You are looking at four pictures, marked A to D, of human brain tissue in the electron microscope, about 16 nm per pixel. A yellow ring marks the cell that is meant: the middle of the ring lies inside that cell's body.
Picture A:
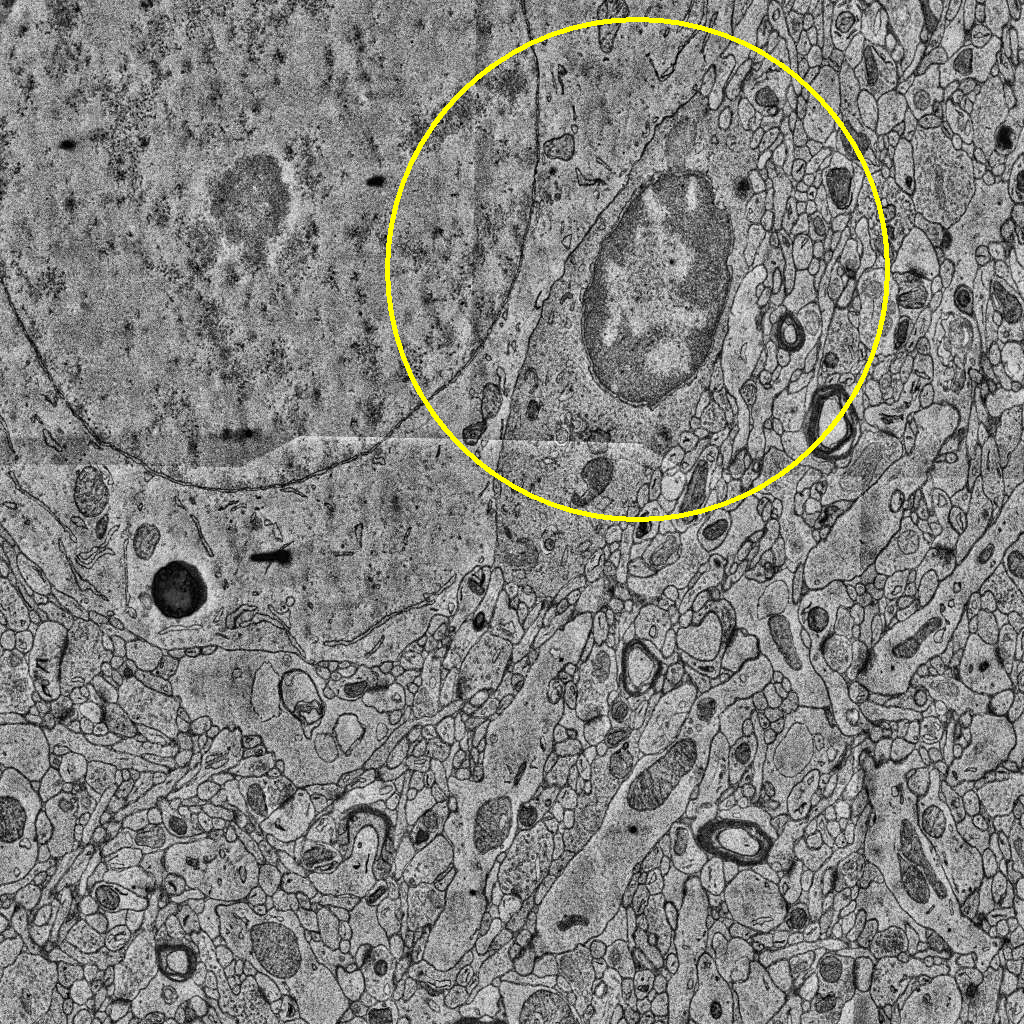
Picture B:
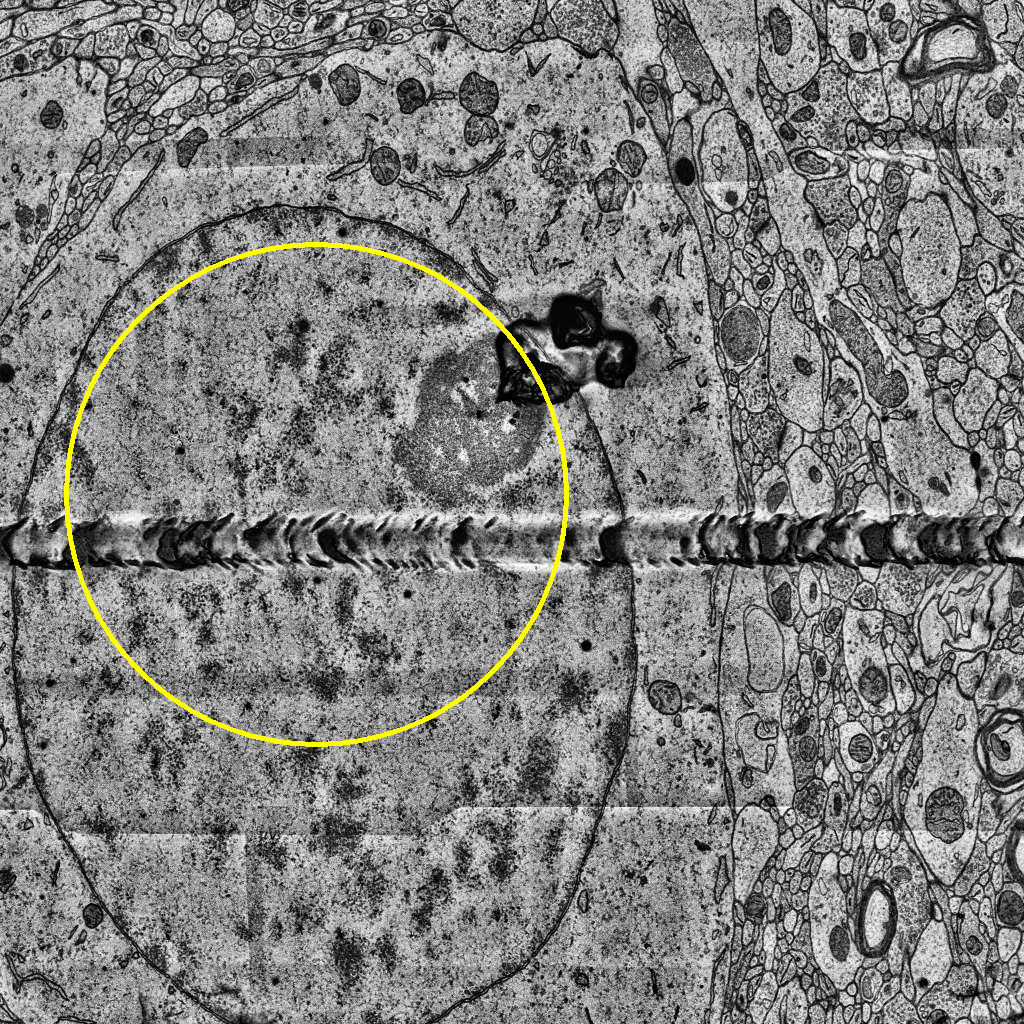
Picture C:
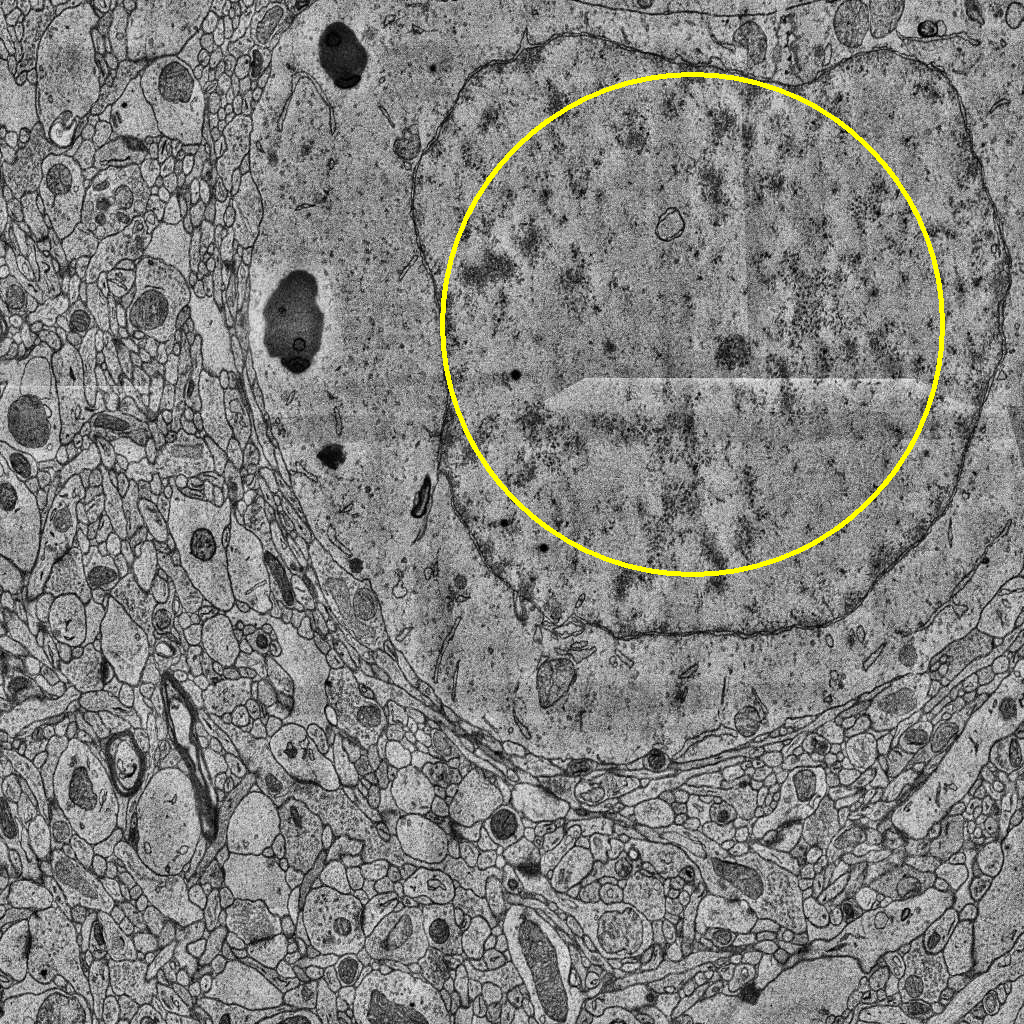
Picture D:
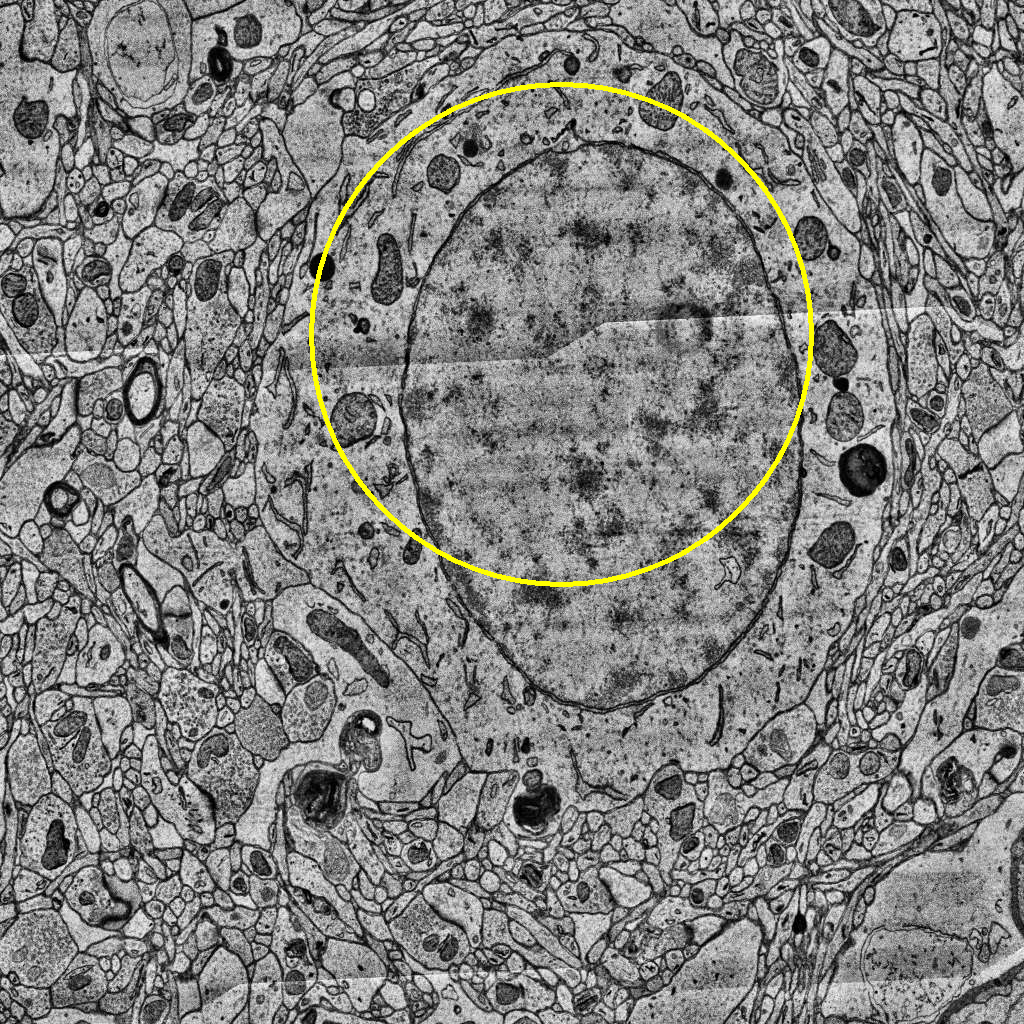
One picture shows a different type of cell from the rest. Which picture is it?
Picture A differs, because its cell is an oligodendrocyte and the rest are pyramidal neurons.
